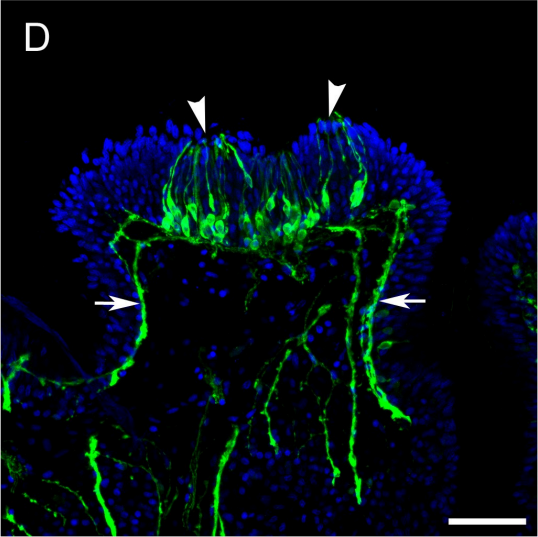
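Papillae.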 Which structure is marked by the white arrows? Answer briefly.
Nervelets.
